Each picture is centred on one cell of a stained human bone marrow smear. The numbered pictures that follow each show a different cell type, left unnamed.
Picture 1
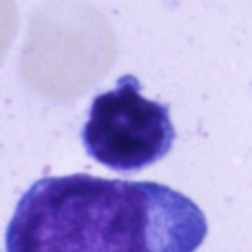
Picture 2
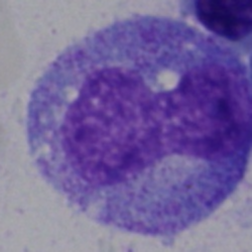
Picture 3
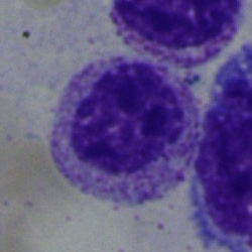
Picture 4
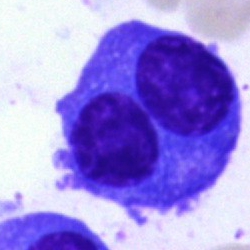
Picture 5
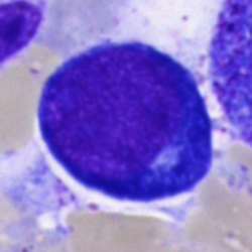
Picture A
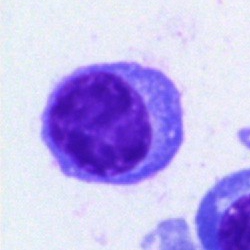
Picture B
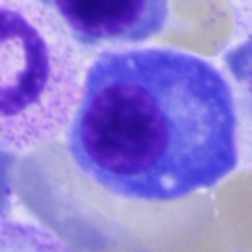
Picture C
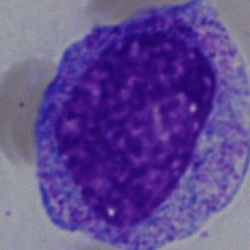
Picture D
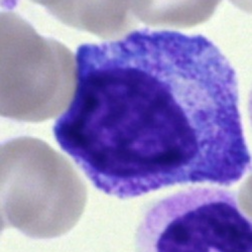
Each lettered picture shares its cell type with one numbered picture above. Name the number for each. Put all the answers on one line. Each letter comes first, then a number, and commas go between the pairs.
A 4, B 4, C 2, D 3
